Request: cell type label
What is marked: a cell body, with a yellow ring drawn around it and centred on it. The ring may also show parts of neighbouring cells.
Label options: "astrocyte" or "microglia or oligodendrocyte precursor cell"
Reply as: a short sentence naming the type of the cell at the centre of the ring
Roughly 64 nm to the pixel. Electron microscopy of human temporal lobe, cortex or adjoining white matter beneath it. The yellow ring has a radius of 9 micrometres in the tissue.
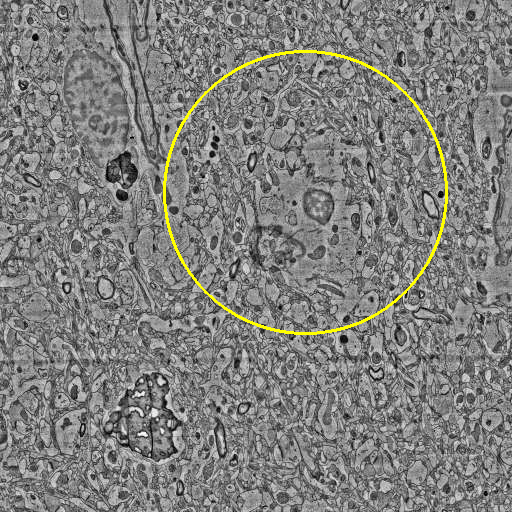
The marked cell body is that of an astrocyte.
